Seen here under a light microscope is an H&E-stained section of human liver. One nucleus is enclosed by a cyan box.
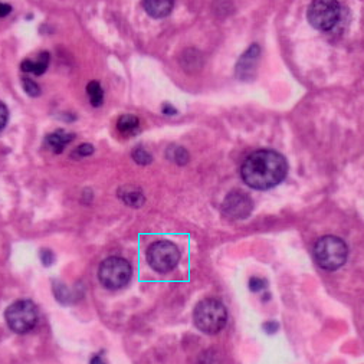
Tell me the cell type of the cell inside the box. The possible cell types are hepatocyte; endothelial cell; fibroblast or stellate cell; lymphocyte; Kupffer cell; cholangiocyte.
hepatocyte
